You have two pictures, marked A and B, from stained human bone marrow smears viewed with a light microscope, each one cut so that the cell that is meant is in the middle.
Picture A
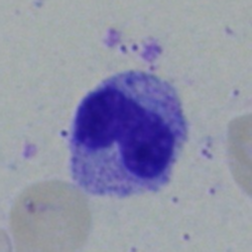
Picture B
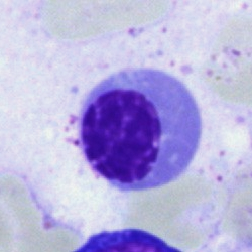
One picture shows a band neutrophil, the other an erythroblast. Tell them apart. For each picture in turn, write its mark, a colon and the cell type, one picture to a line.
A: band neutrophil
B: erythroblast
